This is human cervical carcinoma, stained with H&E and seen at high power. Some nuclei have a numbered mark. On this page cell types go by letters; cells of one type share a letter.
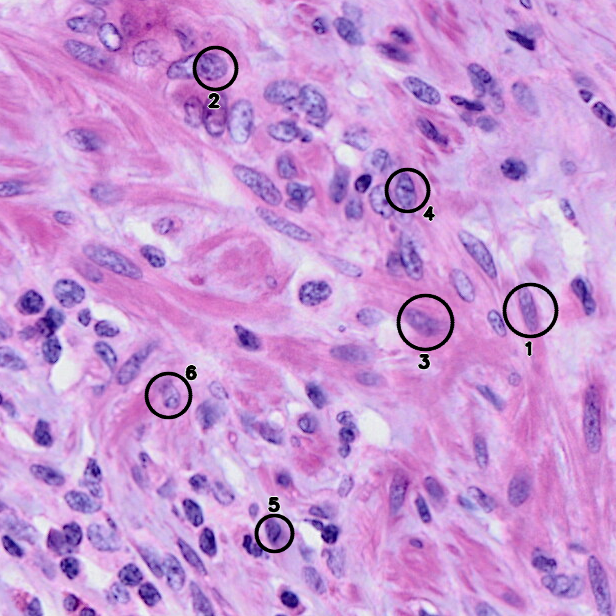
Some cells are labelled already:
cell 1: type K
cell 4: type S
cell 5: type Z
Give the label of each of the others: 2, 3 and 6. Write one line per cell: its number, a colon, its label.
2: type S
3: type K
6: type K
